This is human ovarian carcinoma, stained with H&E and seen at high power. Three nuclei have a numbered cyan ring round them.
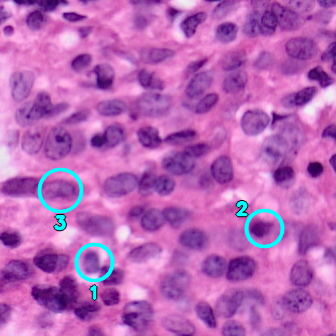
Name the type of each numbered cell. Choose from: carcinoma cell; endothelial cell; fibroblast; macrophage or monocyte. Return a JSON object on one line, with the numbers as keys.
{"1": "macrophage or monocyte", "2": "carcinoma cell", "3": "endothelial cell"}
